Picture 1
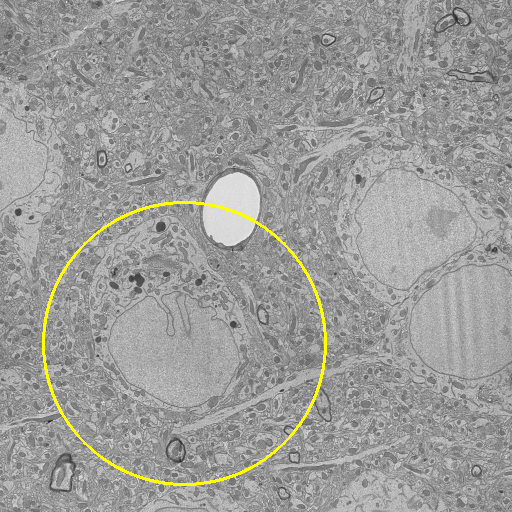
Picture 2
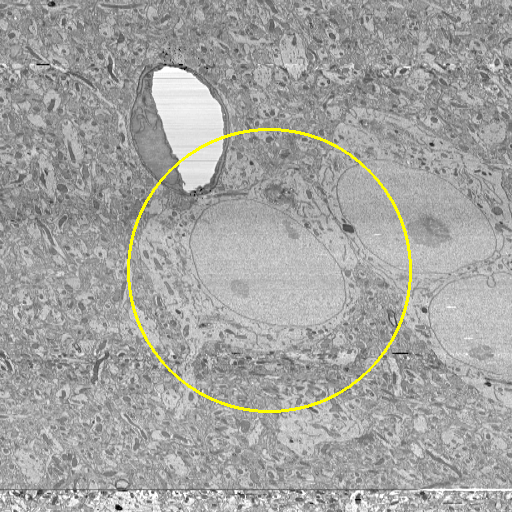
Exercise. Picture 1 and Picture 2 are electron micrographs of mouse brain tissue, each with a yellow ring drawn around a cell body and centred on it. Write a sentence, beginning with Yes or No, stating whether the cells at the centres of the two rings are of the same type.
No, the cells at the centres of the rings are of two types.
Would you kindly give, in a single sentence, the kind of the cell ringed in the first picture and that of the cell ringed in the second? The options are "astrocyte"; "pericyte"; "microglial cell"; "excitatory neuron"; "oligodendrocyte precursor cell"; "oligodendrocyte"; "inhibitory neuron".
The second cell is an excitatory neuron, and the first cell is an inhibitory neuron.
